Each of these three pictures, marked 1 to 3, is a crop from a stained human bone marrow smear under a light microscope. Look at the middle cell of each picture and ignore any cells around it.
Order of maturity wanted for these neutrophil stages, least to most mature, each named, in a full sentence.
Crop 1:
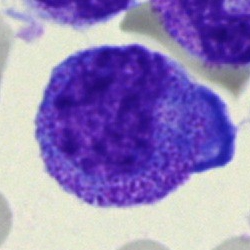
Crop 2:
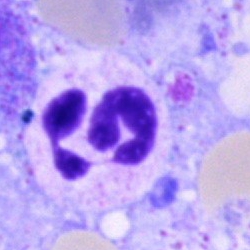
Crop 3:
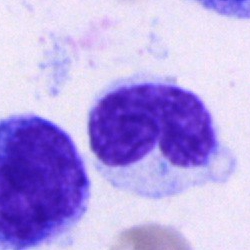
Increasing in maturity, the crops run crop 1 (a promyelocyte), crop 3 (a metamyelocyte) and crop 2 (a segmented neutrophil).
